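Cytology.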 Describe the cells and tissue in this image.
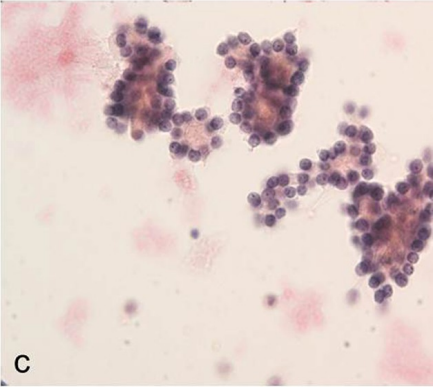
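Several clusters of epithelial cells lie on a pale background with some pink material. Round purple nuclei are crowded tightly together and overlap one another, with a brownish centre in the larger clusters and nuclei strung along their edges.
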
